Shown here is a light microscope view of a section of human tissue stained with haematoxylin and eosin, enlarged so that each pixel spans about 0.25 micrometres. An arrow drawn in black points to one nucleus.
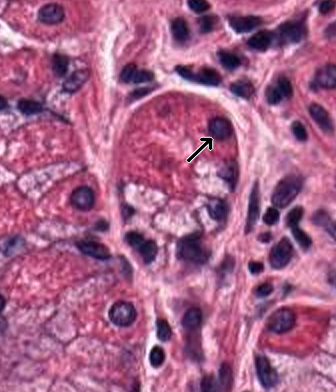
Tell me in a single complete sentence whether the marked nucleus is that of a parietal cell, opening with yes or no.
Yes, the marked nucleus, as shown, belongs to a parietal cell.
